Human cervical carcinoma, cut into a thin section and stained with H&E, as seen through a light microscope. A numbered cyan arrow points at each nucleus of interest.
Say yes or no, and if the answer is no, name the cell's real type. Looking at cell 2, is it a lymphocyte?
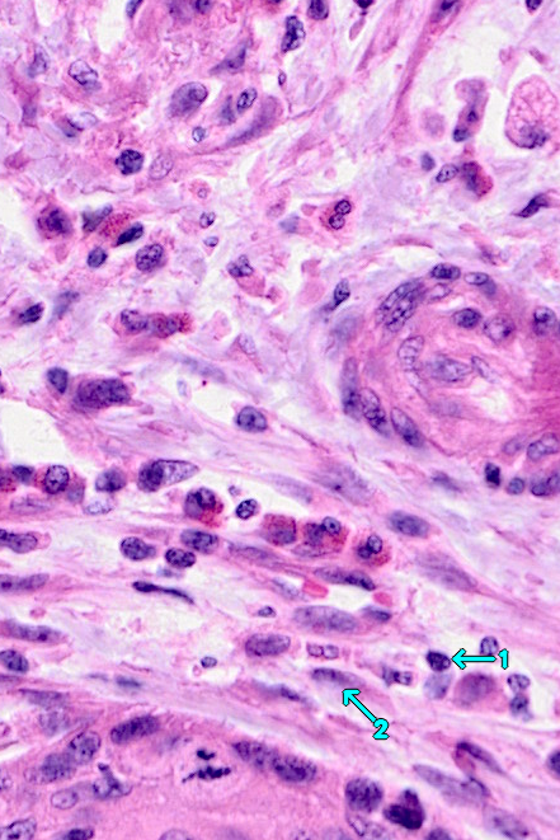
No, it is a fibroblast.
